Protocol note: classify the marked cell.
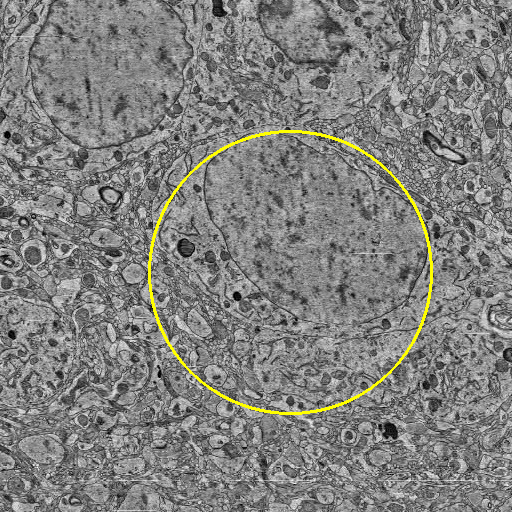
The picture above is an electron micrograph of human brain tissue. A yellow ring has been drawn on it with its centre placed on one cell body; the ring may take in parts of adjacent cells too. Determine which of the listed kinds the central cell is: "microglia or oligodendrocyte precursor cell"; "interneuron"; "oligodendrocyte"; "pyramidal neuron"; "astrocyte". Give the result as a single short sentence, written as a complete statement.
The central cell is a pyramidal neuron.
